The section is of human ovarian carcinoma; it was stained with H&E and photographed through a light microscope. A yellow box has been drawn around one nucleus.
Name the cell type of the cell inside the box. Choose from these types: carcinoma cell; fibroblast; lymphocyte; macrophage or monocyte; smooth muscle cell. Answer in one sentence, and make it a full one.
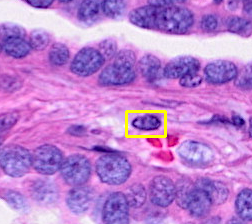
Assigned to a cell type, the cell inside the box is a macrophage or monocyte.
